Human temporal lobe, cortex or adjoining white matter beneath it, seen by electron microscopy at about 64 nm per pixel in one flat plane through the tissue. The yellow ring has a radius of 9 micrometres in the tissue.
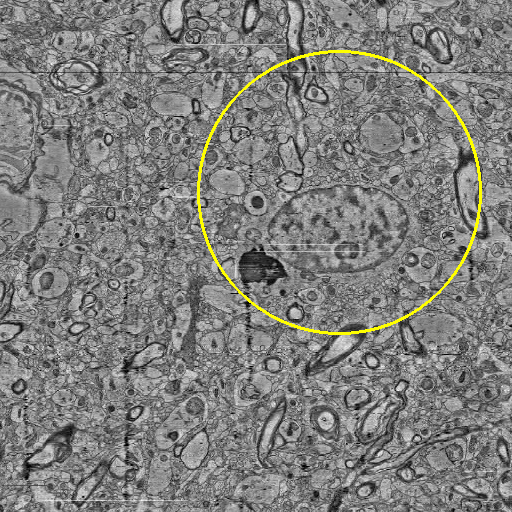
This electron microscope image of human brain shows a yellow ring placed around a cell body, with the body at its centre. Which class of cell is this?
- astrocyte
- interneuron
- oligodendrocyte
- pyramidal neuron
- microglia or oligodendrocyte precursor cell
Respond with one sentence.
The cell body at the ring's centre is an oligodendrocyte.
